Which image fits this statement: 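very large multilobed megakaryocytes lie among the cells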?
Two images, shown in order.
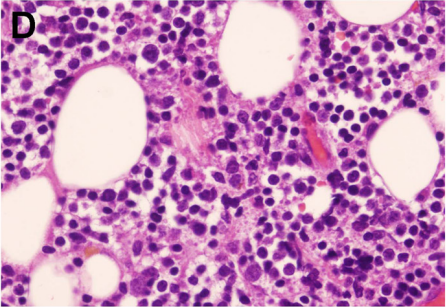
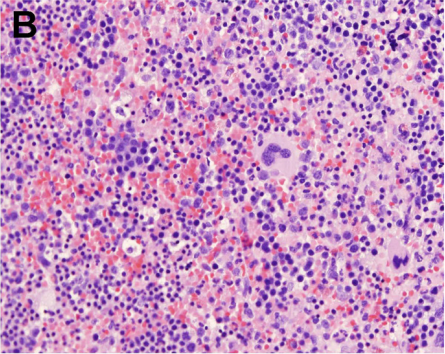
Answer: The second image.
